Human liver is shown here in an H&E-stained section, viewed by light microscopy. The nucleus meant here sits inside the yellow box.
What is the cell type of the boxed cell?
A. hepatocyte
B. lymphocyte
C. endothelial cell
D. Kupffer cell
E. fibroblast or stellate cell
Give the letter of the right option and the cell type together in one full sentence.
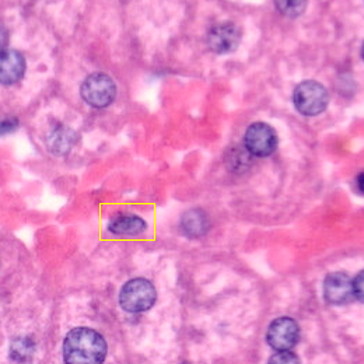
The proper choice here is C: the boxed cell is an endothelial cell.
